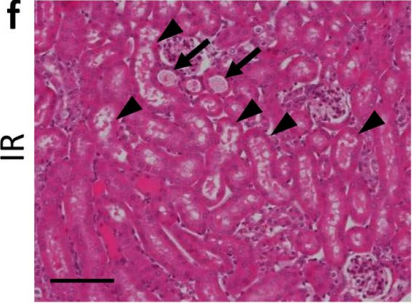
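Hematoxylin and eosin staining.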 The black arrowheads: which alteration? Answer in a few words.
tubular dilation and loss of brush border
